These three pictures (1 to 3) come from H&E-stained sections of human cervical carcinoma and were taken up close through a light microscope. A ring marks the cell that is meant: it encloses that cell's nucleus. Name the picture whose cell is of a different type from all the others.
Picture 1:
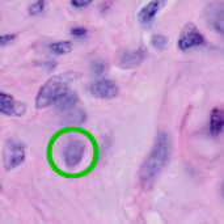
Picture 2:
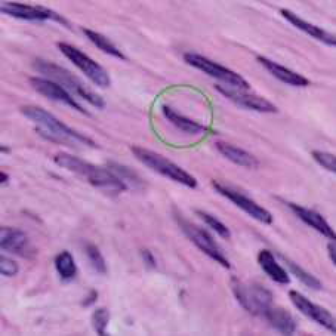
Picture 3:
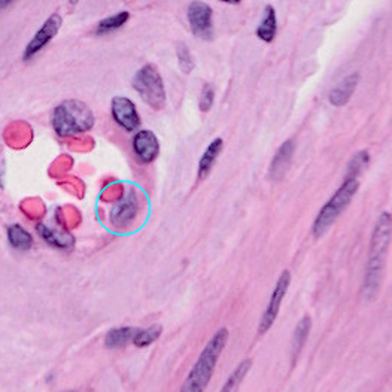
3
